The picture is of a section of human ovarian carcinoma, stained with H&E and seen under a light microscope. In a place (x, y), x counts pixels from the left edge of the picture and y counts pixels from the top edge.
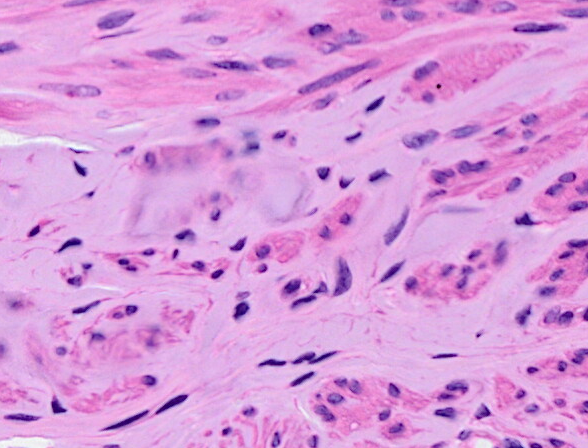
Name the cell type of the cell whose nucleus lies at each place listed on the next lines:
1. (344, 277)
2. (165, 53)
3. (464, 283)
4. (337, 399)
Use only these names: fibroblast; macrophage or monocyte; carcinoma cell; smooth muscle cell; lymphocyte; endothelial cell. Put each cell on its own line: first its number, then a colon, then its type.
1: fibroblast
2: smooth muscle cell
3: smooth muscle cell
4: smooth muscle cell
